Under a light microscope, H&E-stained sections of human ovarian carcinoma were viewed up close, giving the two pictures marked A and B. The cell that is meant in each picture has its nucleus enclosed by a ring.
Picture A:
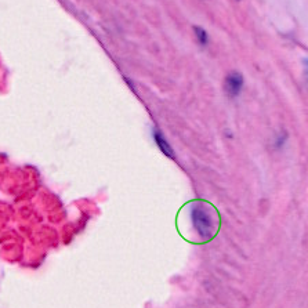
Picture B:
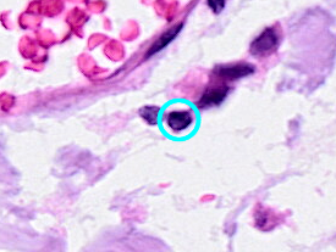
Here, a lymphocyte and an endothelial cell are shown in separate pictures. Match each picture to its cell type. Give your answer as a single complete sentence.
In picture A the cell is an endothelial cell; in picture B, a lymphocyte.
